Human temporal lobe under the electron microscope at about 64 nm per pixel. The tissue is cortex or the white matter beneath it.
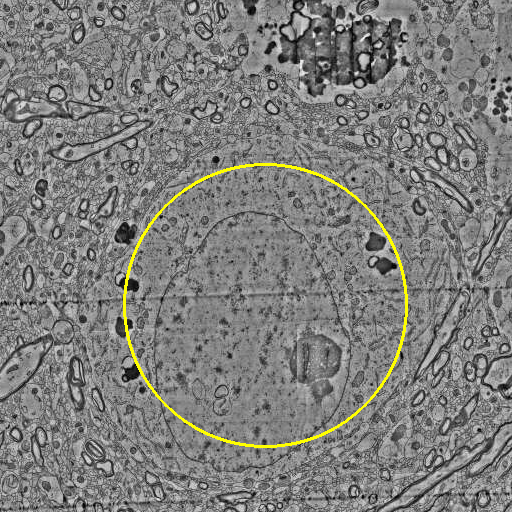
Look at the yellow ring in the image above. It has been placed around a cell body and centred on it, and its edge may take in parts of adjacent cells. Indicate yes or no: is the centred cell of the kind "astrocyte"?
no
